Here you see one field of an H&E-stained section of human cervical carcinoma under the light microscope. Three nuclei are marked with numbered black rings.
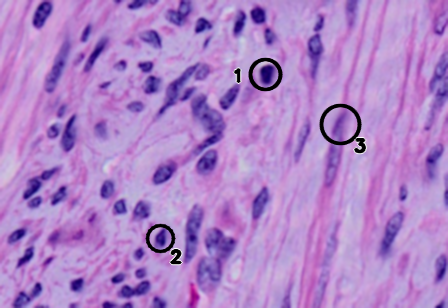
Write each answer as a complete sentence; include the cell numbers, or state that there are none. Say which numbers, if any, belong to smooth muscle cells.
When it comes to cells 2 and 3, they are smooth muscle cells.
